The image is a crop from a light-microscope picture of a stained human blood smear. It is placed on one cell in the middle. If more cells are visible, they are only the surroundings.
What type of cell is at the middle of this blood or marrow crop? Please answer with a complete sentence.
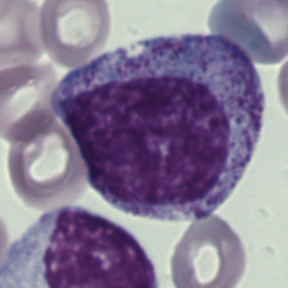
The cell sitting right in the middle is a promyelocyte.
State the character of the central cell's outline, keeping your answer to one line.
Smooth all around, the outline has no projections to report.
